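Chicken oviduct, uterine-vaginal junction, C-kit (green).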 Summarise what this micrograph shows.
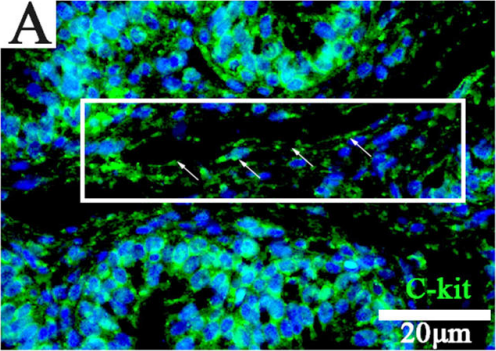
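This shows two sperm storage tubes lined by epithelial cells, separated by lamina propria containing stromal cells with long telopodes. The epithelial cells are tightly packed, with round blue nuclei and diffusely green cytoplasm.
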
